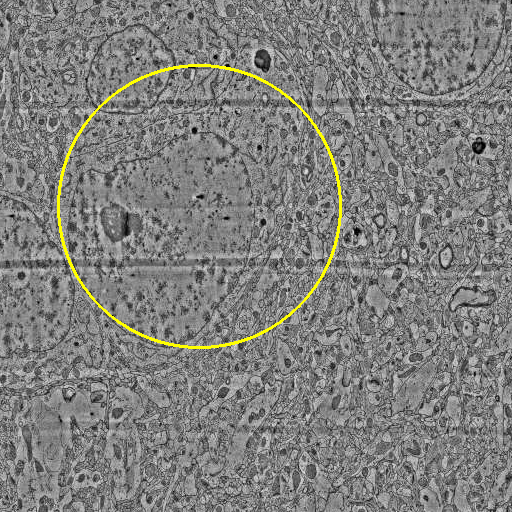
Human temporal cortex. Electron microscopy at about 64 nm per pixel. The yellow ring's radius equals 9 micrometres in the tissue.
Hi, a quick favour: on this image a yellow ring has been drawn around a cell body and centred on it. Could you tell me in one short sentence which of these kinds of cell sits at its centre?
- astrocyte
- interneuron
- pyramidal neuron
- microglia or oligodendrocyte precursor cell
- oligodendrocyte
The ring is centred on a pyramidal neuron.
